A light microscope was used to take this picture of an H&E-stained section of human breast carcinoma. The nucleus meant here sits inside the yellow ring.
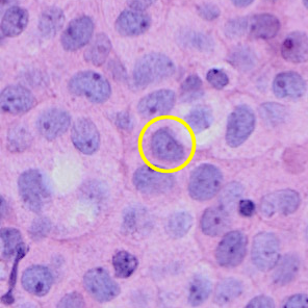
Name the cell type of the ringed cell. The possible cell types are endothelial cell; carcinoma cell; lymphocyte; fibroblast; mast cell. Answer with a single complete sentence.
In terms of identity, the ringed cell is a carcinoma cell.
